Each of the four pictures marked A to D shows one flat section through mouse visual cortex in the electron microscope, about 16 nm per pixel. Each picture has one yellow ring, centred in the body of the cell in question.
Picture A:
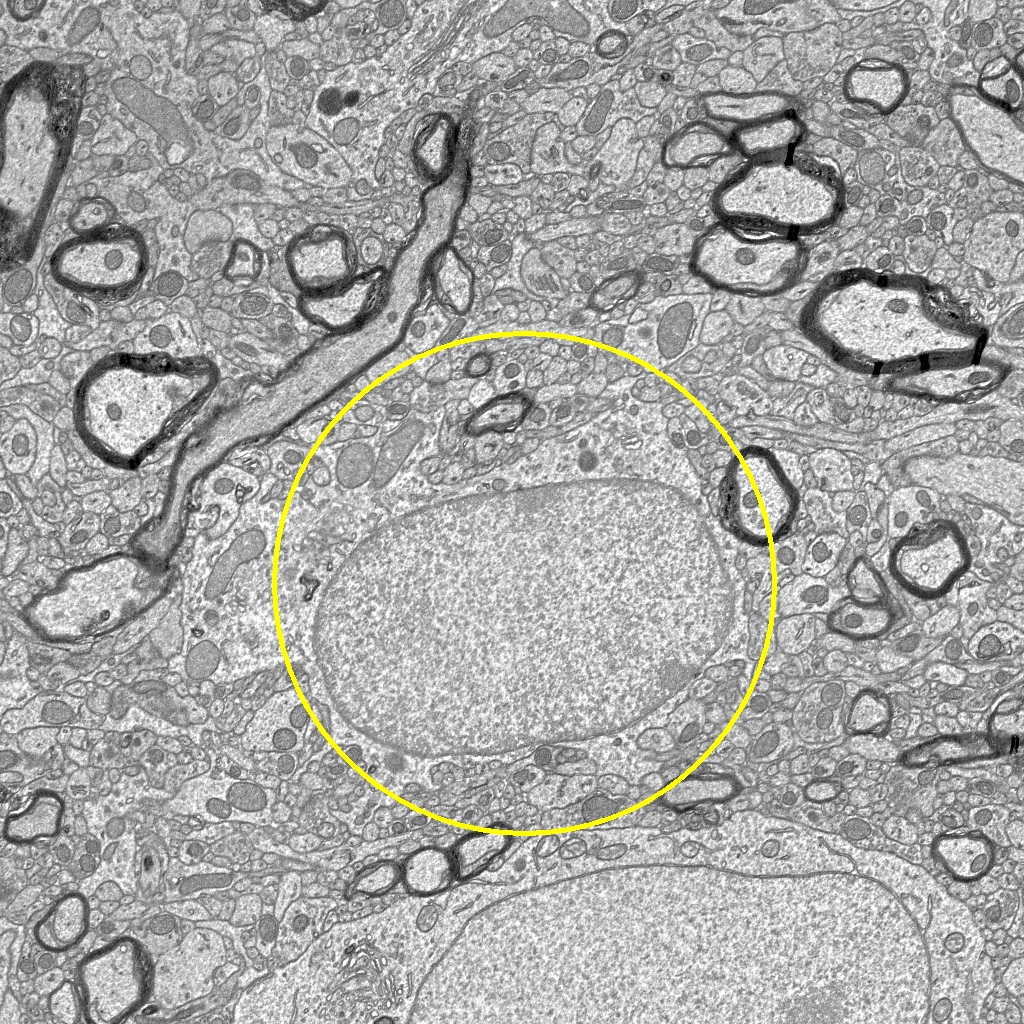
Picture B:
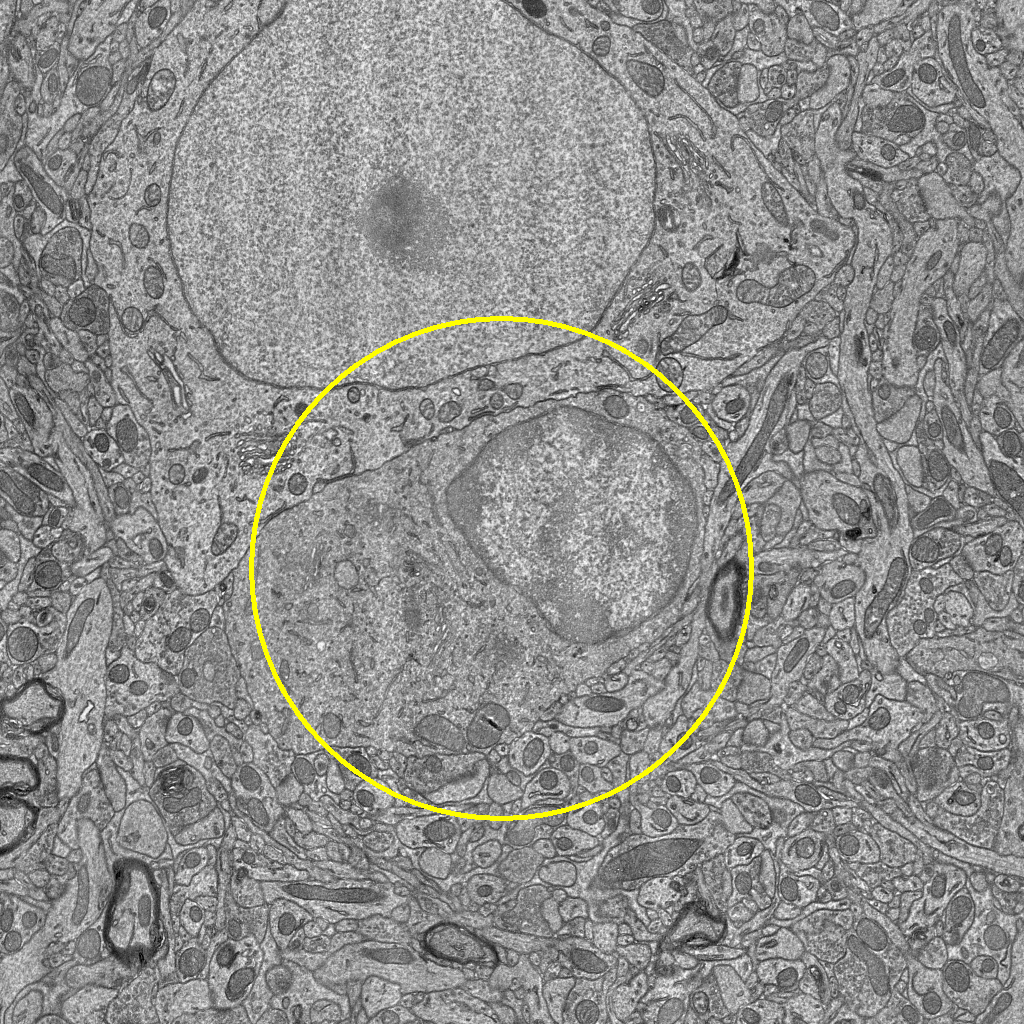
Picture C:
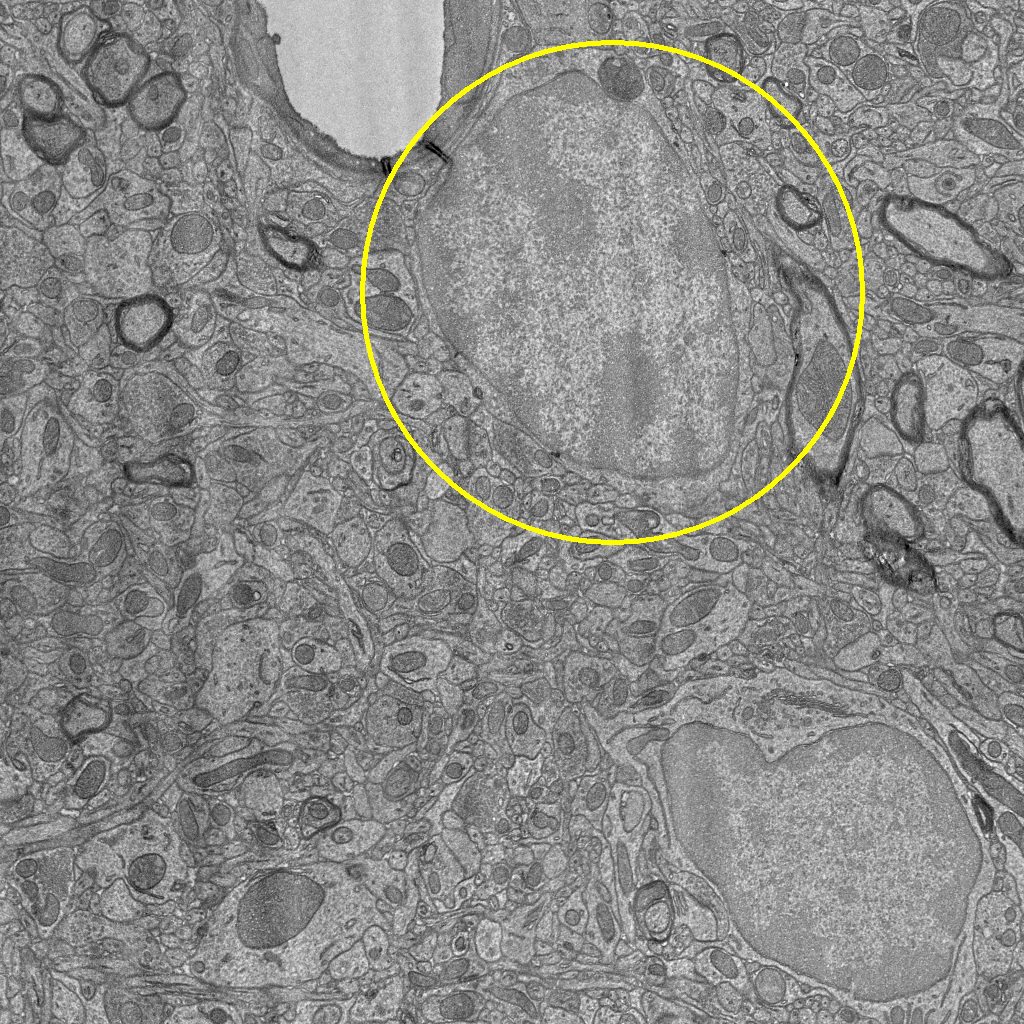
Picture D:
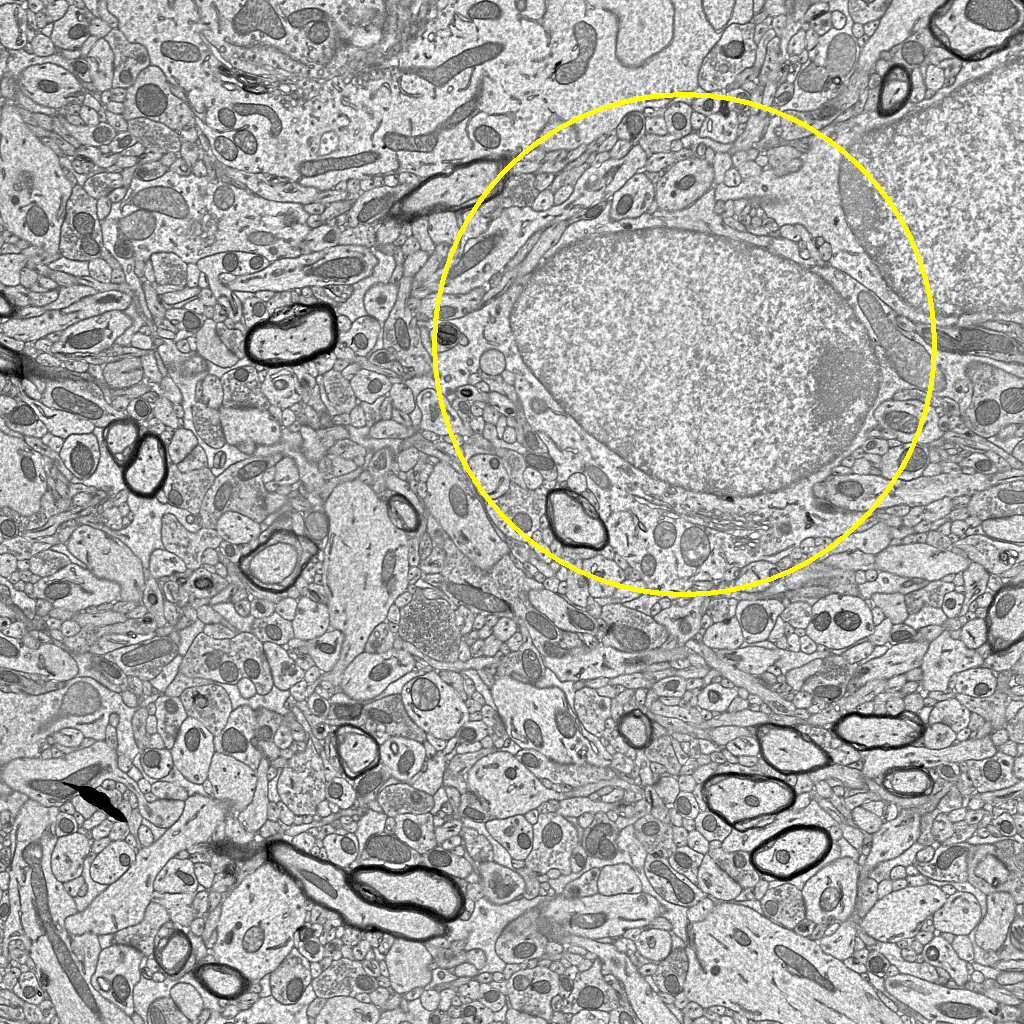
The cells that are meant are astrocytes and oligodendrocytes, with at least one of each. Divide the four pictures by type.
Pictures A and D show astrocytes, while pictures B and C show oligodendrocytes.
